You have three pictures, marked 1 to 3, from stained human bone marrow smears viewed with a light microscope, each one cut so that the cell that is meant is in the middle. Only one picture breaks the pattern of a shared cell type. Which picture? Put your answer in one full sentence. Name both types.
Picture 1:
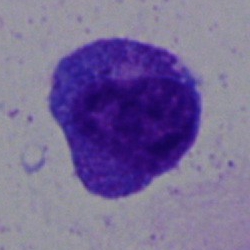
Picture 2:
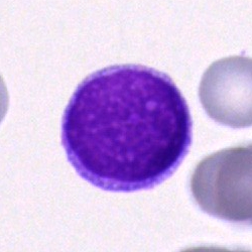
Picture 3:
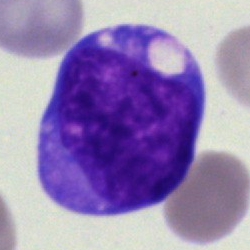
Picture 1 is the odd one out: it shows a promyelocyte, while the others show blasts.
